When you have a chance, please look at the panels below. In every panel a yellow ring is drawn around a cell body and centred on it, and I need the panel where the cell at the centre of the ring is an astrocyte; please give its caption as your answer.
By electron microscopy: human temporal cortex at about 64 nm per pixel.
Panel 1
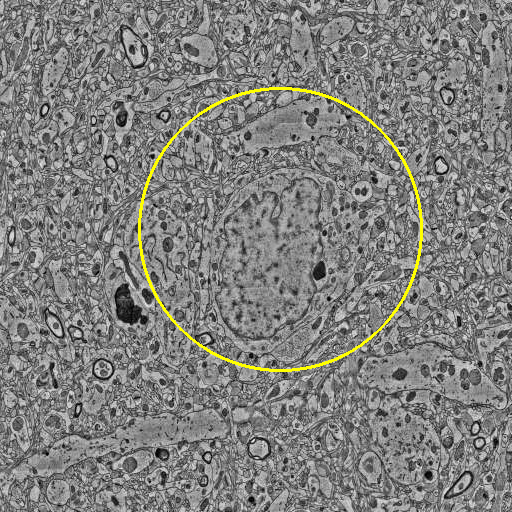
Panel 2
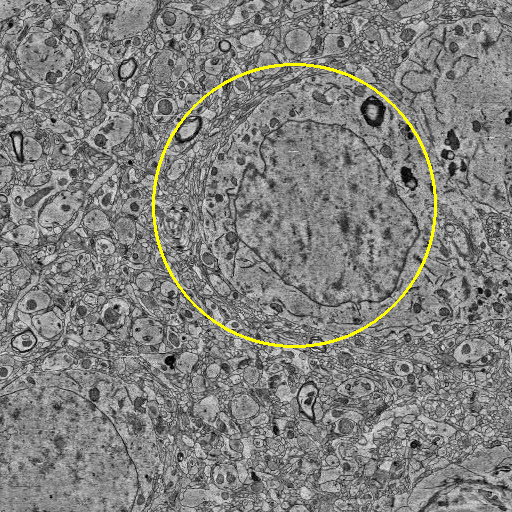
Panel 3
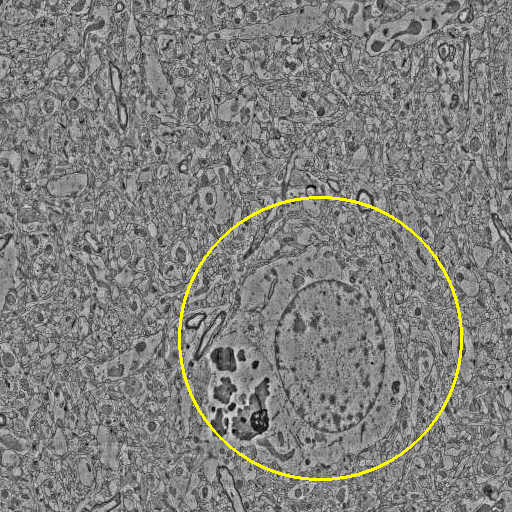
Panel 3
